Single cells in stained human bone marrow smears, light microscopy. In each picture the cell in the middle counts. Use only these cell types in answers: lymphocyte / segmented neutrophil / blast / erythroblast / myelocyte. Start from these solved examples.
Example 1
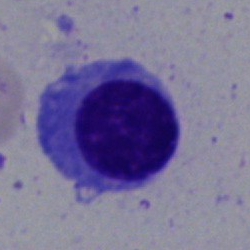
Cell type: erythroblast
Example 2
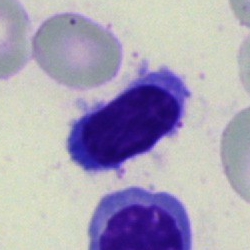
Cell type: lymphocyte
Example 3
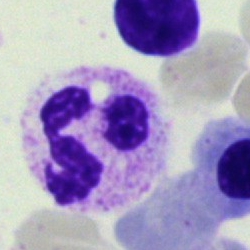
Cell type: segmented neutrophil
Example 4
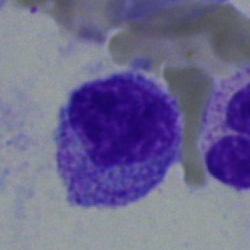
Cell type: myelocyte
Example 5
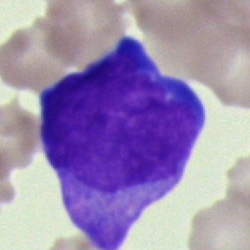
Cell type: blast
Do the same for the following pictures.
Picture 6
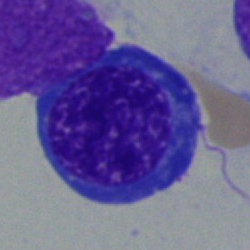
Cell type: erythroblast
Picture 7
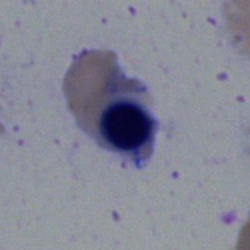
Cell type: erythroblast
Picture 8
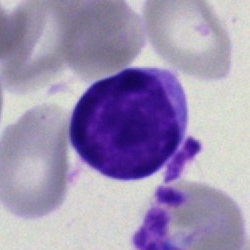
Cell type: lymphocyte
